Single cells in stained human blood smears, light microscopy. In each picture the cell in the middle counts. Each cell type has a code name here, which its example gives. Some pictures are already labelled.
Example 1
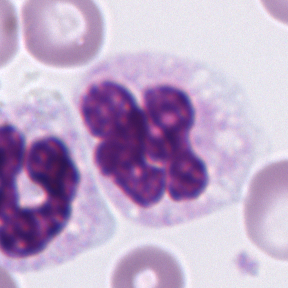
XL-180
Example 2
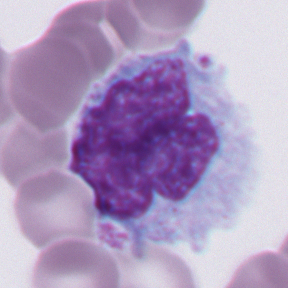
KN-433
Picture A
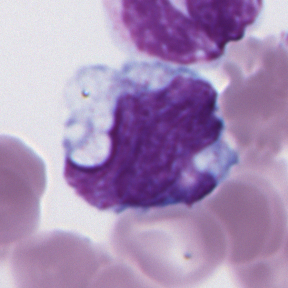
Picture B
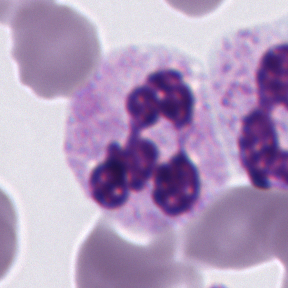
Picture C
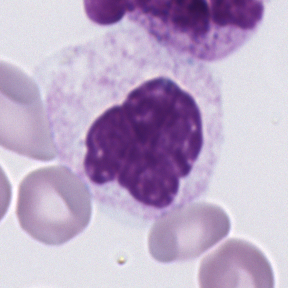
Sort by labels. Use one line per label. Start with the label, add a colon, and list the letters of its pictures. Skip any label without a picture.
XL-180: B, C
KN-433: A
